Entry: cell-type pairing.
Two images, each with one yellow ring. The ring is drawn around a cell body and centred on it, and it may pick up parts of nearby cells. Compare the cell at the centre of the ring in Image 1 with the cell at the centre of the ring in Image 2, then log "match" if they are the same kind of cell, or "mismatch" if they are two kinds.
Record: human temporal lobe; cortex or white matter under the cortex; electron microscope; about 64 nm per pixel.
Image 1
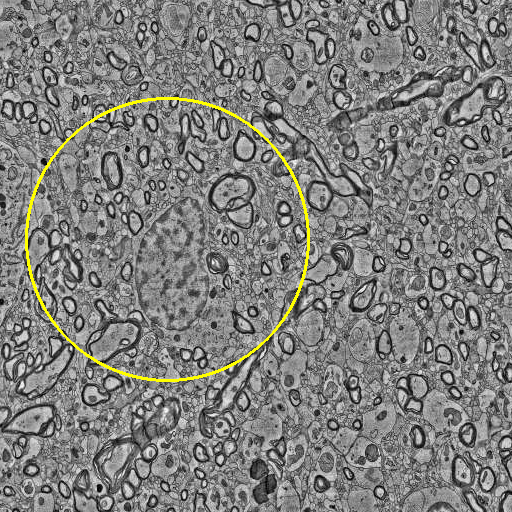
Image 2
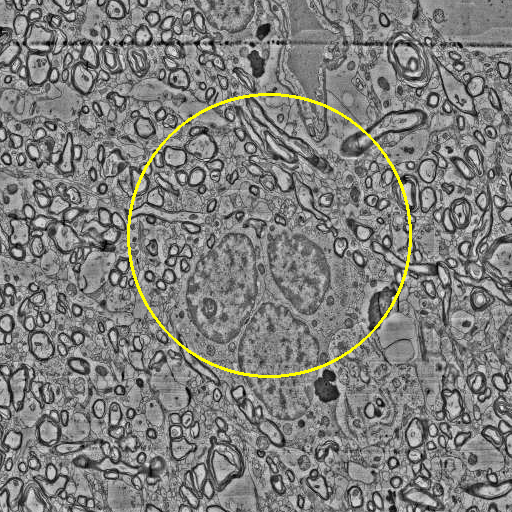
match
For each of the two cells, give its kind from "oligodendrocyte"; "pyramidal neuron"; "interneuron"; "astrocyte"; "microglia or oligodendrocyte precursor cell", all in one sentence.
Each of the two rings surrounds an oligodendrocyte.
